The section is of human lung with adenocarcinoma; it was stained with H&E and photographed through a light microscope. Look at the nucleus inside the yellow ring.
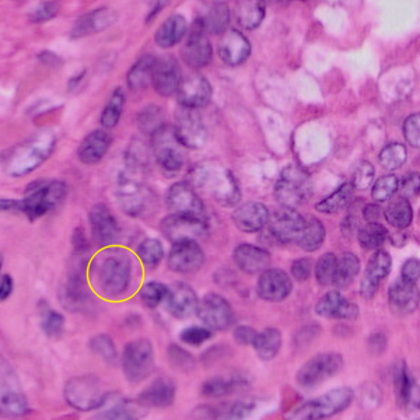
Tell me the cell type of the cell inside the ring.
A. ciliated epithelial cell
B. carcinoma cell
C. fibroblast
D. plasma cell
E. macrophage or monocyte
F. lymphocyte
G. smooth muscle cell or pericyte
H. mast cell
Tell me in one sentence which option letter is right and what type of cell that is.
Option A is the one that fits, as the cell inside the ring is a ciliated epithelial cell.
